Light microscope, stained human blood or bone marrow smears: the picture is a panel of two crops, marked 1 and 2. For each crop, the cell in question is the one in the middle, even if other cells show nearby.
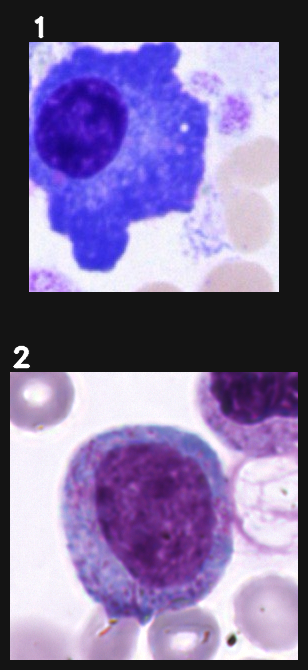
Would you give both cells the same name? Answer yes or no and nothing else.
no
